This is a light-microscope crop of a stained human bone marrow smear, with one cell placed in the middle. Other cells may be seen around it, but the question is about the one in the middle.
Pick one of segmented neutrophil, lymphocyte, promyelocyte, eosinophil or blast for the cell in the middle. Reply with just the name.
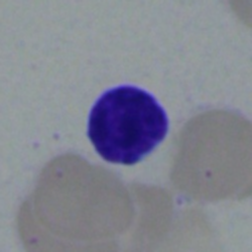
lymphocyte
